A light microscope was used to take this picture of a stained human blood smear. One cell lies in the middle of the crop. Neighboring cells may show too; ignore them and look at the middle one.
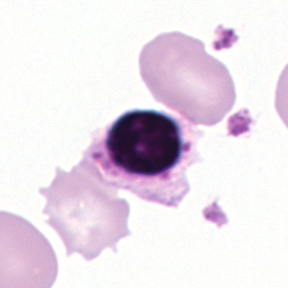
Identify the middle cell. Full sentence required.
Seen at the centre of the crop is an erythroblast.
